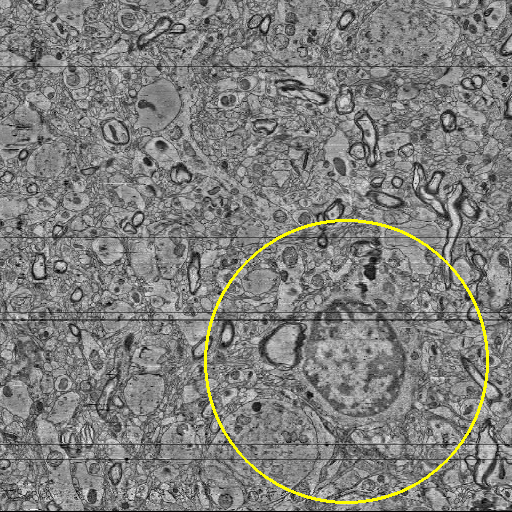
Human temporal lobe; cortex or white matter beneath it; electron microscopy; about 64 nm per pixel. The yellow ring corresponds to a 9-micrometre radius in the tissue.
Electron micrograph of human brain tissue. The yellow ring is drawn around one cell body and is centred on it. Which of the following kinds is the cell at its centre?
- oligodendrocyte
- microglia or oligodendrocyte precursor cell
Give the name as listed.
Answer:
oligodendrocyte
